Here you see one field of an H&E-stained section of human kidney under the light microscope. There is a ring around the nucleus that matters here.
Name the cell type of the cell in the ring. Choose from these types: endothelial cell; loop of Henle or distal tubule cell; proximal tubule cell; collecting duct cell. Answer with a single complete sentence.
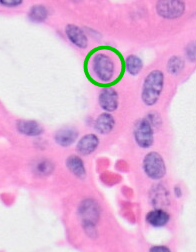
In the context of this tissue, the cell in the ring is a collecting duct cell.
